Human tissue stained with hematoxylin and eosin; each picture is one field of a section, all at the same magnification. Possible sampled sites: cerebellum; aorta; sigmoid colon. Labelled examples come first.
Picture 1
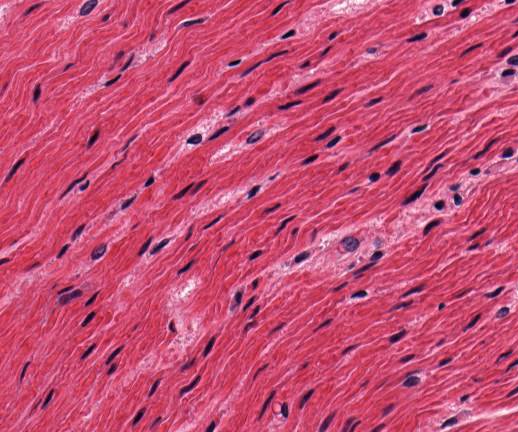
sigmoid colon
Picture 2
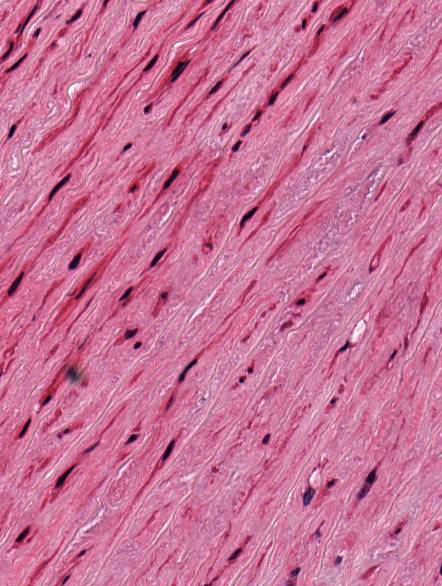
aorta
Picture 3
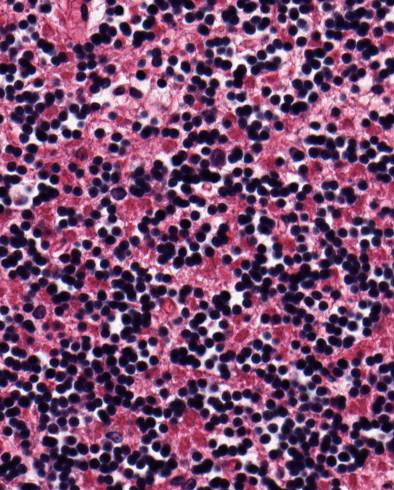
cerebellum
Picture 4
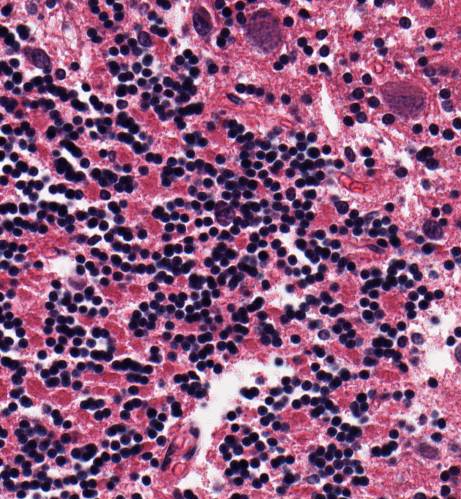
cerebellum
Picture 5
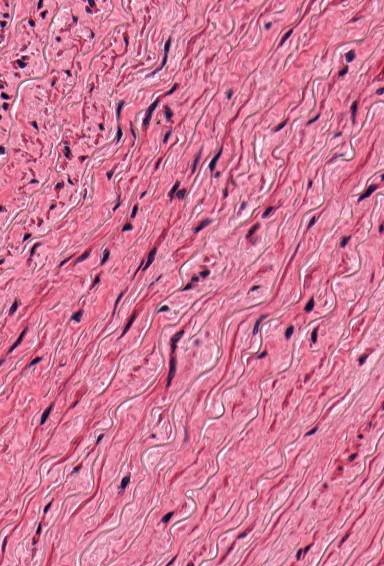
aorta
